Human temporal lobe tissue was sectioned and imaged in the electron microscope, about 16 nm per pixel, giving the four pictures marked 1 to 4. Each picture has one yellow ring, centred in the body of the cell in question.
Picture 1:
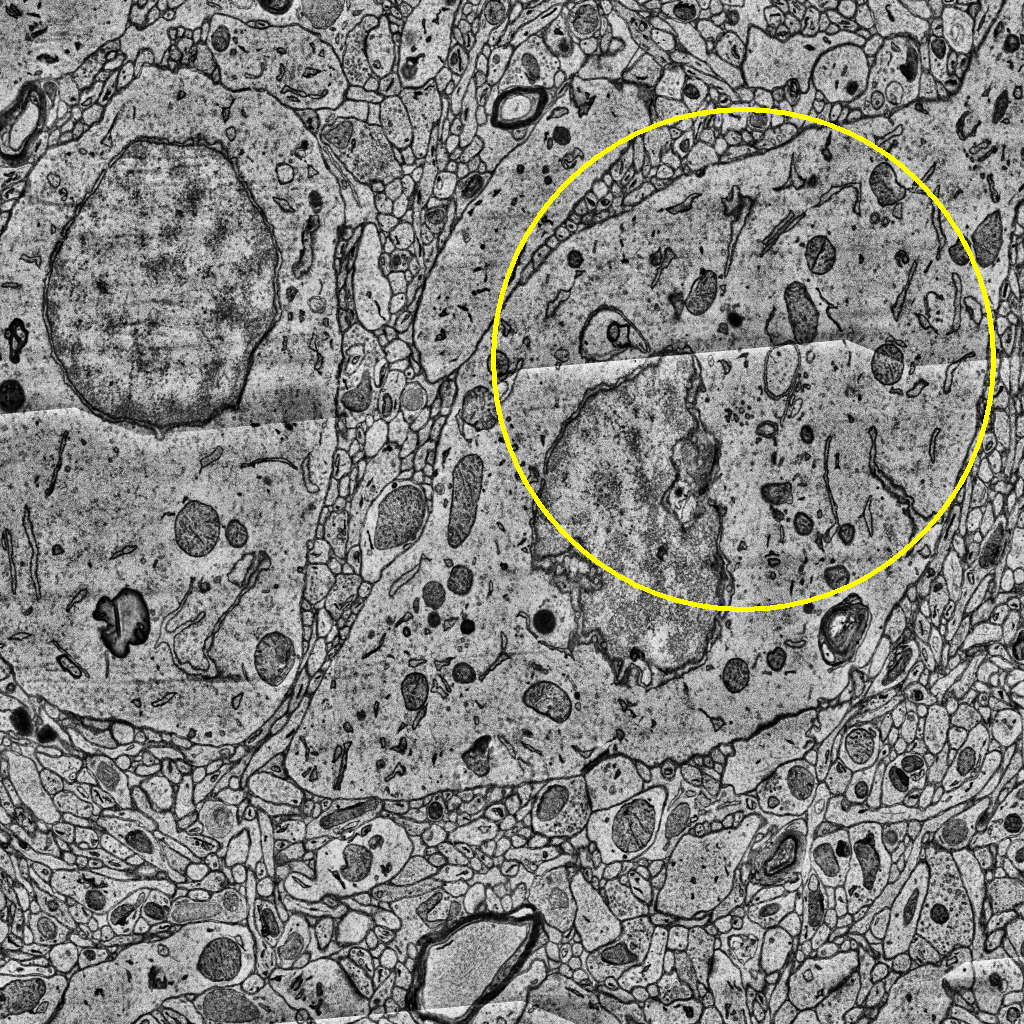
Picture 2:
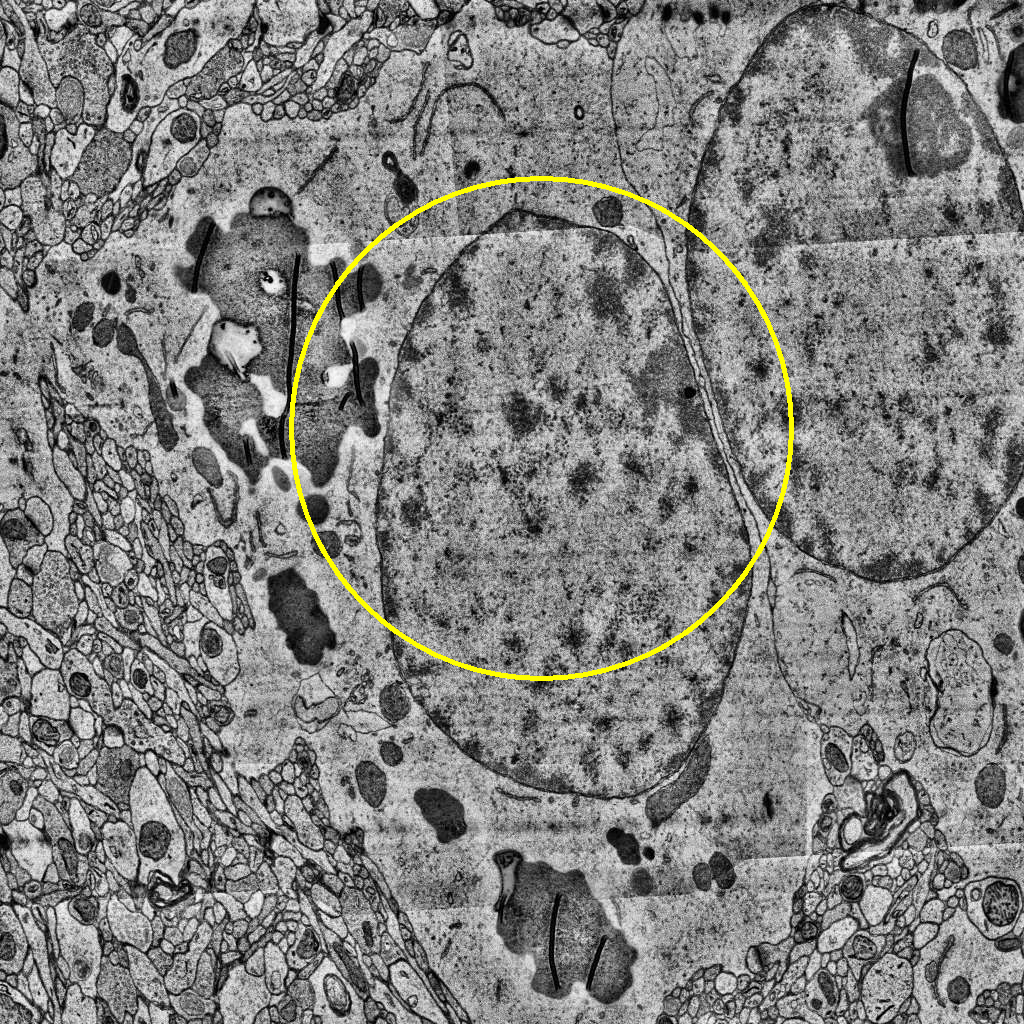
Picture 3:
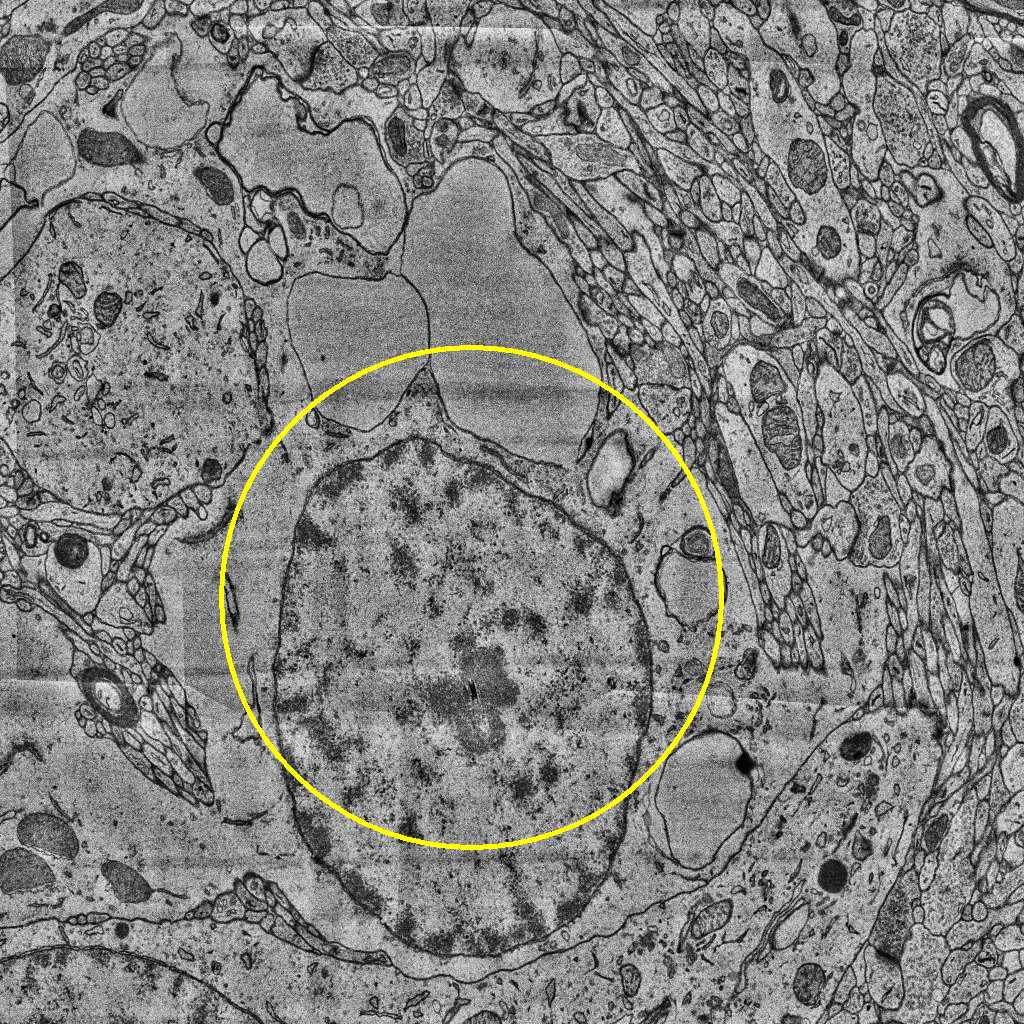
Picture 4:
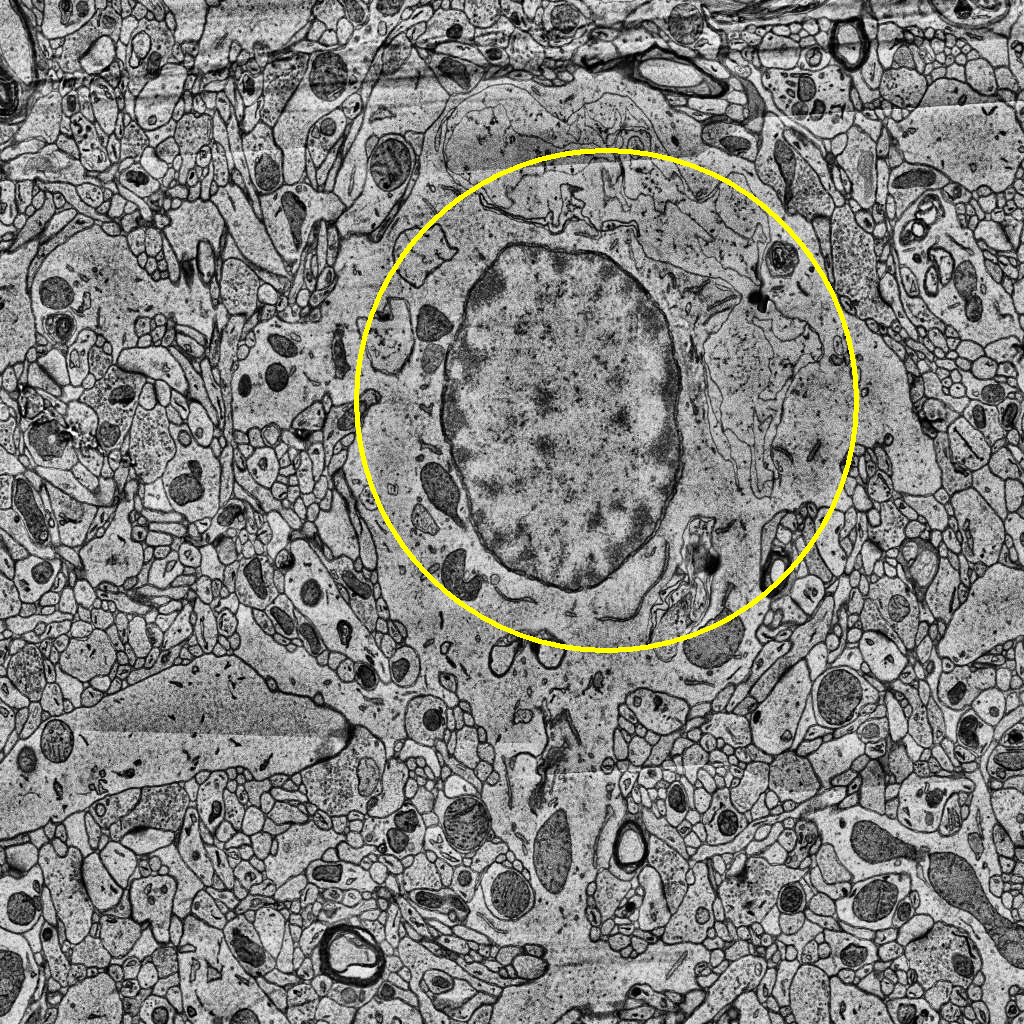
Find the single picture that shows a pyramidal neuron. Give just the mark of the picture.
1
